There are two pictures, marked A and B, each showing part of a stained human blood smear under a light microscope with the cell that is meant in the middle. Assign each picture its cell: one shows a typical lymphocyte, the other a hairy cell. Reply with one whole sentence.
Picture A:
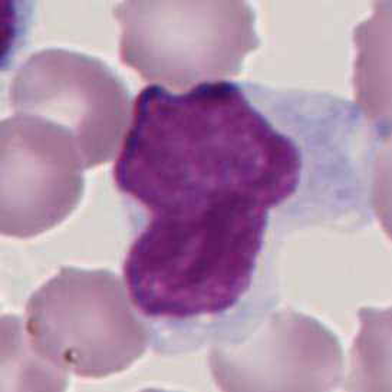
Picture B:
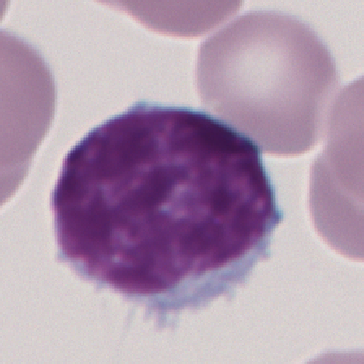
It is picture A that shows a hairy cell, and picture B that shows a typical lymphocyte.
